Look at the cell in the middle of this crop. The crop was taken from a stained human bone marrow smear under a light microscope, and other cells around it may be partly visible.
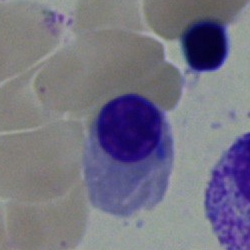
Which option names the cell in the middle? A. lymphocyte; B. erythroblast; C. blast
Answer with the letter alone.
B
